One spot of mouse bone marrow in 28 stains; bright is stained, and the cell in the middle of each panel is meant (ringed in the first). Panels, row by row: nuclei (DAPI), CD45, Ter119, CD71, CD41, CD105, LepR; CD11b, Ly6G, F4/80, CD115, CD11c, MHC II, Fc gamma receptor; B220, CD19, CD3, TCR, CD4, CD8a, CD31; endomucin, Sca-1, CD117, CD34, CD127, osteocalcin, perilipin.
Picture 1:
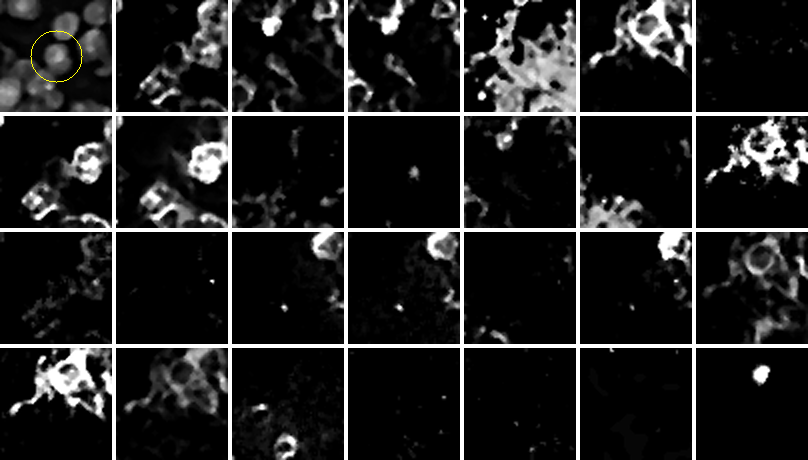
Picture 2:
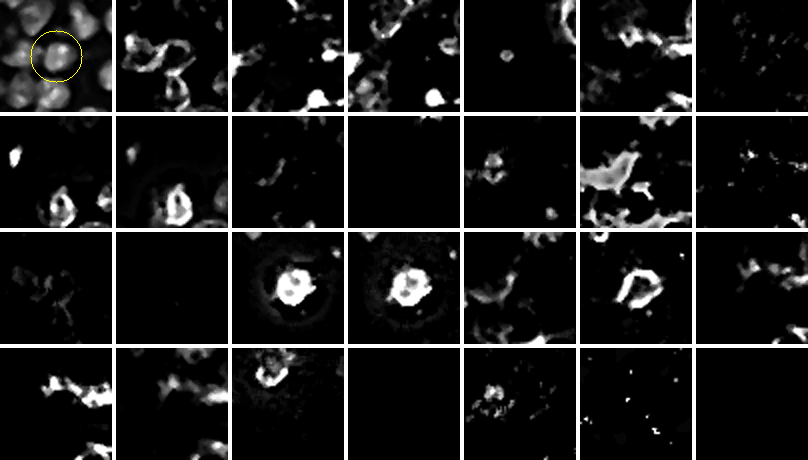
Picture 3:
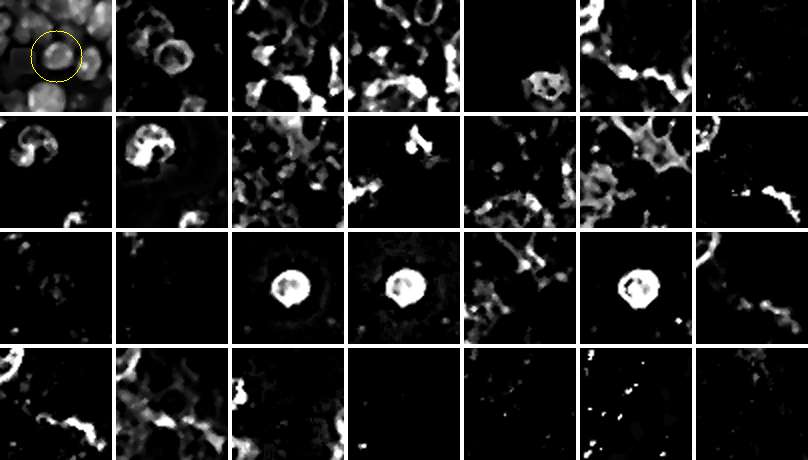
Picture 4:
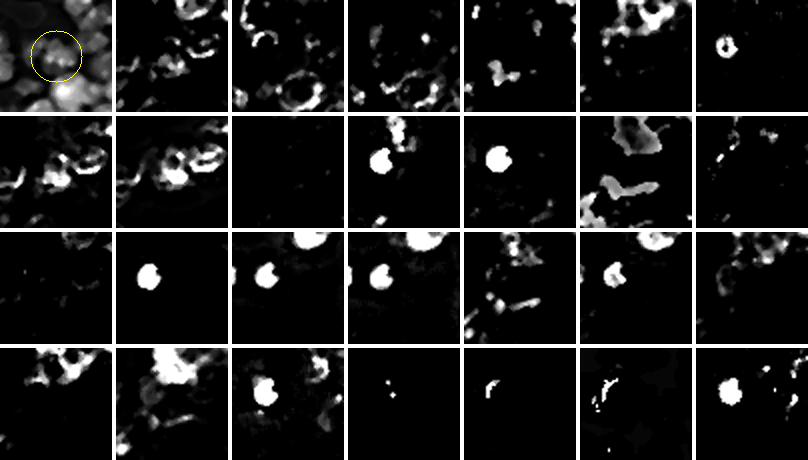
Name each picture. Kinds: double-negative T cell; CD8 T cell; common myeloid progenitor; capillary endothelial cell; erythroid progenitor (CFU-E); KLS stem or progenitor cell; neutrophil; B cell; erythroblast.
Picture 1: capillary endothelial cell
Picture 2: CD8 T cell
Picture 3: CD8 T cell
Picture 4: neutrophil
